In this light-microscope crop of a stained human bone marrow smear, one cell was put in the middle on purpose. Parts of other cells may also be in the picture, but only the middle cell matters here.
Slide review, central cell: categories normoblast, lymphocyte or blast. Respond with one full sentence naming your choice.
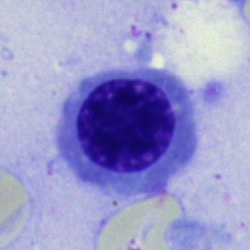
Centred in the crop is a normoblast.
